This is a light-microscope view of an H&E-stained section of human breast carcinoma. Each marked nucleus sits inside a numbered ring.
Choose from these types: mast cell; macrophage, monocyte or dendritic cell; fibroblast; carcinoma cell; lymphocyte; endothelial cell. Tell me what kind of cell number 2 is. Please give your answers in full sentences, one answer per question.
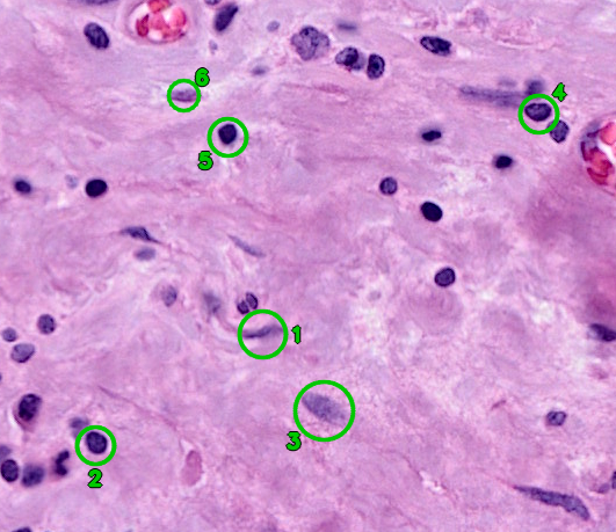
The one numbered 2 among the marked cells is a lymphocyte.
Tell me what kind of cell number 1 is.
In this section, number 1 marks a fibroblast.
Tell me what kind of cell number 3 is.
The nucleus marked 3 is the nucleus of a fibroblast.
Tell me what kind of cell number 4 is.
Classified as a lymphocyte is the cell with the number 4.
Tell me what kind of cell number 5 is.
Marked with the number 5, this cell is a lymphocyte.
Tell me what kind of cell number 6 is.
The cell referenced by the number 6 is a fibroblast in this field.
